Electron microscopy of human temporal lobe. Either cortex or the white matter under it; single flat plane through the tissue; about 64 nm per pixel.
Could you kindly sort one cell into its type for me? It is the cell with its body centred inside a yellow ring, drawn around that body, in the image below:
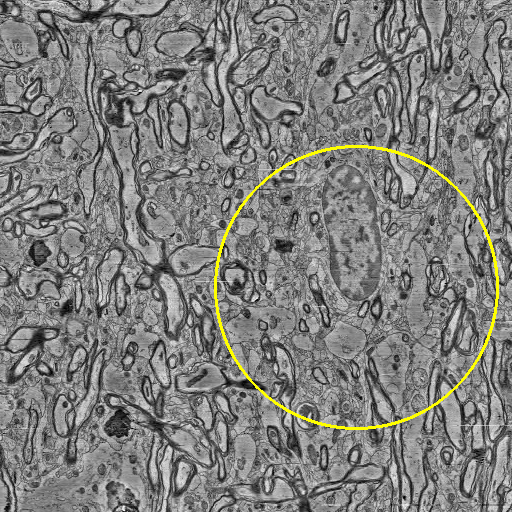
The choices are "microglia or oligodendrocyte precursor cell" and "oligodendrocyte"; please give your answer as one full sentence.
The cell whose body lies centred in the yellow ring here is a microglial cell or oligodendrocyte precursor cell.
